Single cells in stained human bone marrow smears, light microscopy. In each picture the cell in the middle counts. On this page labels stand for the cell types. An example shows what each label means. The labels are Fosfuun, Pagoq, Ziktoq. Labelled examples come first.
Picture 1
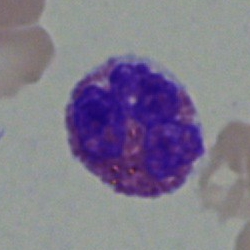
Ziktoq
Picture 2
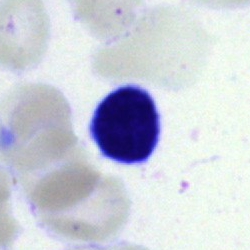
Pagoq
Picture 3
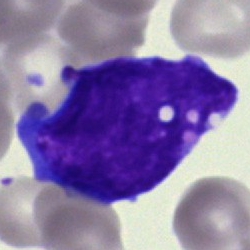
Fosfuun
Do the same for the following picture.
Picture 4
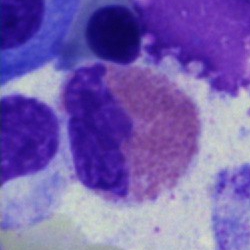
Ziktoq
